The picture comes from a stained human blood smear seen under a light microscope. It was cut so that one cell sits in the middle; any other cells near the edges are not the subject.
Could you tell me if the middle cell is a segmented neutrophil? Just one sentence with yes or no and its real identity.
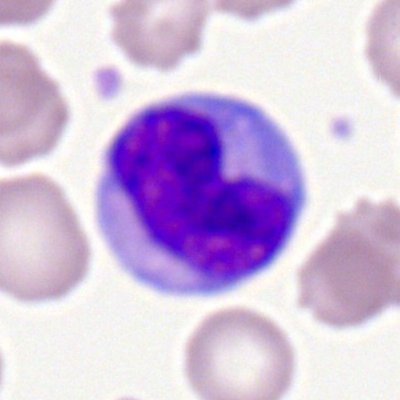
No, it is not a segmented neutrophil that sits at the centre but a monocyte.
